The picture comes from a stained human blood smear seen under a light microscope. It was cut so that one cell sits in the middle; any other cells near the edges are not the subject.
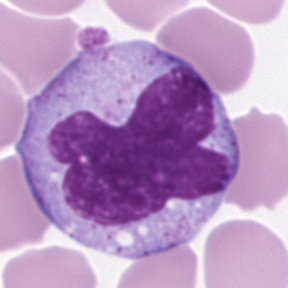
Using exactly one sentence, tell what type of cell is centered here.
The central cell shown in this smear crop is a monocyte.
